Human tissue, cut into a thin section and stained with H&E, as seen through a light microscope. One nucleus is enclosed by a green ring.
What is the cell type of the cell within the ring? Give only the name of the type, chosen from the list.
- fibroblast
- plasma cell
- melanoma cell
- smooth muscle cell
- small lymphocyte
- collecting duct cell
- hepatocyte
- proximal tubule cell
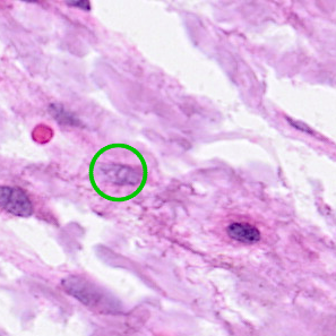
fibroblast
